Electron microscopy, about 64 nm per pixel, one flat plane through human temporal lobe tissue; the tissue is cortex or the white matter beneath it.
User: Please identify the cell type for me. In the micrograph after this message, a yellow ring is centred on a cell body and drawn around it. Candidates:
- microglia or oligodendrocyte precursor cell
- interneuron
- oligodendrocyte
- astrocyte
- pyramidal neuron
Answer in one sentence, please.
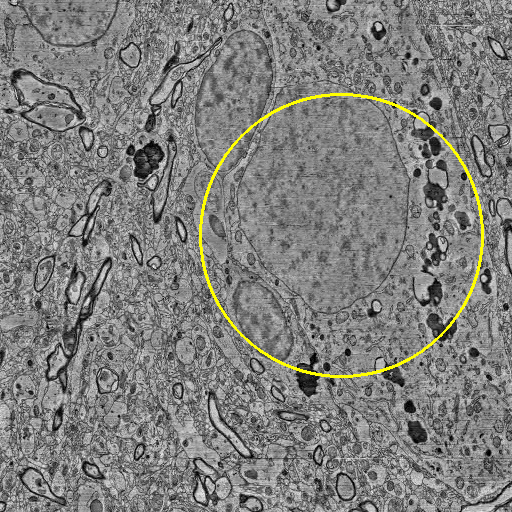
The ring is drawn around the cell body of a pyramidal neuron.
